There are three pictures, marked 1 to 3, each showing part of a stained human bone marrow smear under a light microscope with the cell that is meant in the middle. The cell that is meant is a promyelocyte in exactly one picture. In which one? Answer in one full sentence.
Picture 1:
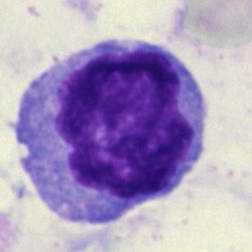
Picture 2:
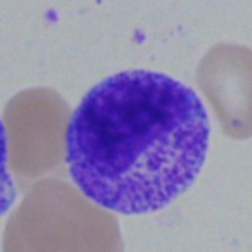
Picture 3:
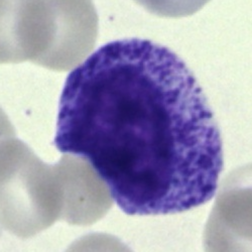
The picture with the promyelocyte is 3.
